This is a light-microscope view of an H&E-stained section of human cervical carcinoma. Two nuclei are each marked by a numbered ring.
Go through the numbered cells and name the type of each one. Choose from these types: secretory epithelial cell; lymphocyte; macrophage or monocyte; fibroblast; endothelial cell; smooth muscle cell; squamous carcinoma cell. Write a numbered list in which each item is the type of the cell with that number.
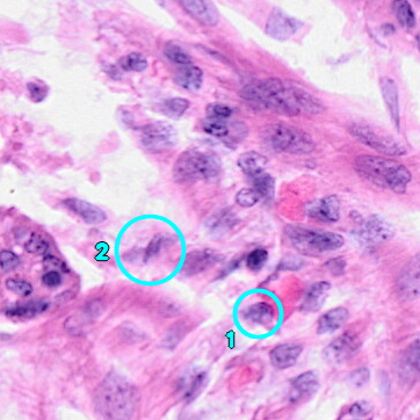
1. endothelial cell
2. fibroblast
